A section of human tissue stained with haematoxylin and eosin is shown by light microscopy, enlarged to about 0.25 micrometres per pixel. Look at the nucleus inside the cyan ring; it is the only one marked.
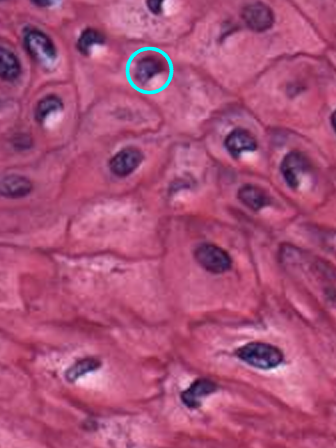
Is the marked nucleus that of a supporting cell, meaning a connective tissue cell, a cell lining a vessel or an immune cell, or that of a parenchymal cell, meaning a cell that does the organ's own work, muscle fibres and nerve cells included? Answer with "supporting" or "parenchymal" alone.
parenchymal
